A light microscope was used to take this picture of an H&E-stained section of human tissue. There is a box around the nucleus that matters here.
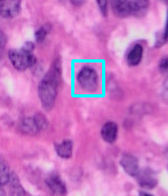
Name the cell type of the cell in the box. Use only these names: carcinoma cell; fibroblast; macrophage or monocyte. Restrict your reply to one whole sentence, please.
Cytologically, the cell in the box is to be regarded as a macrophage or monocyte.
